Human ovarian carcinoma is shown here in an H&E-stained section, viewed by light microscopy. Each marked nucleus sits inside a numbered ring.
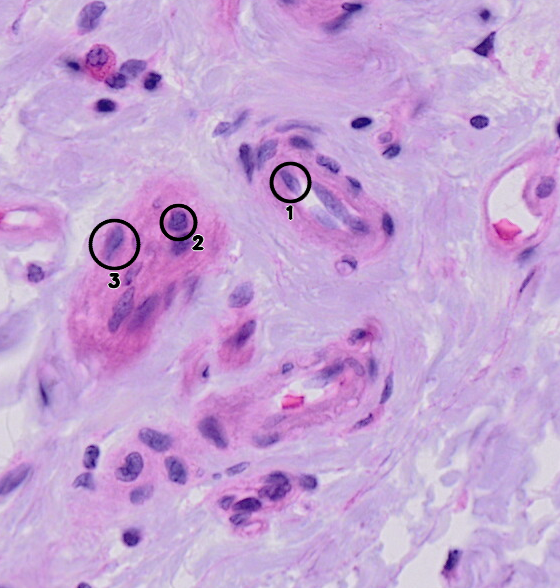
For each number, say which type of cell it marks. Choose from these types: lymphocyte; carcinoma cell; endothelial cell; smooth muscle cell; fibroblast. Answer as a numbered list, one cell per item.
1. endothelial cell
2. smooth muscle cell
3. smooth muscle cell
